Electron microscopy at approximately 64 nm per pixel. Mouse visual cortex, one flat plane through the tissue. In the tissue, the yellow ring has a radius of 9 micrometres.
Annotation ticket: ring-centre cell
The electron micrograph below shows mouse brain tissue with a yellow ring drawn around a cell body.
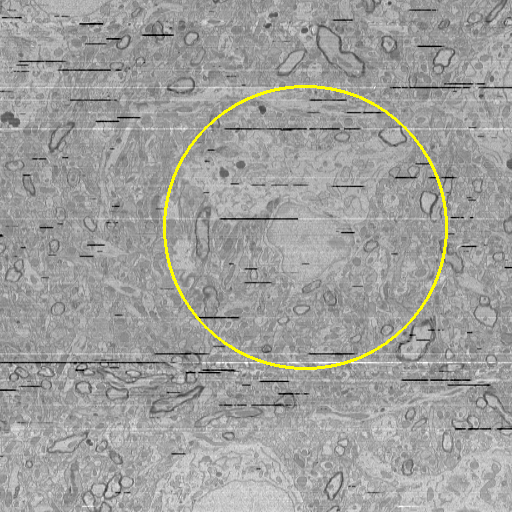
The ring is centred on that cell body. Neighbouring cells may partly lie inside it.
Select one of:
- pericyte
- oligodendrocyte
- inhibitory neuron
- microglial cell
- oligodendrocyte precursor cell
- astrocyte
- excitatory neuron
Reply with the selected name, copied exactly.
oligodendrocyte precursor cell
